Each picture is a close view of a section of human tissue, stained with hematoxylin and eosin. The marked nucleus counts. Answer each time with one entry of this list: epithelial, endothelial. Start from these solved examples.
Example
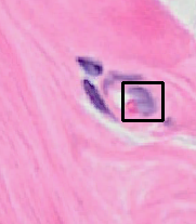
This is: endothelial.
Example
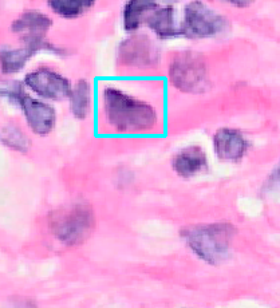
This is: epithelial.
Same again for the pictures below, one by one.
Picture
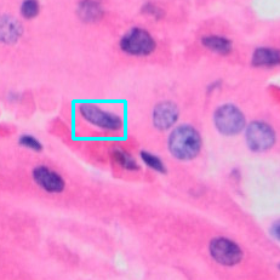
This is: endothelial.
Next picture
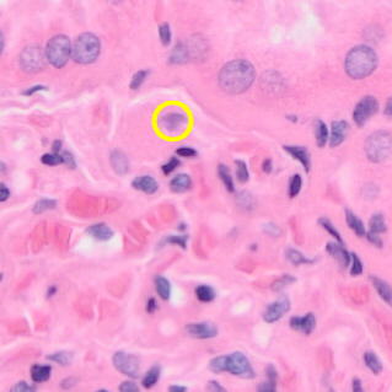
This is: endothelial.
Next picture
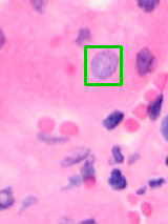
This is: epithelial.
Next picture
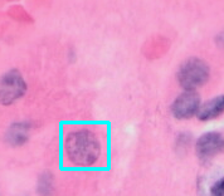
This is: epithelial.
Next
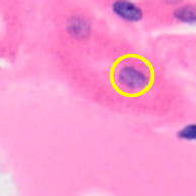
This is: epithelial.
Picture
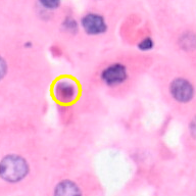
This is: endothelial.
